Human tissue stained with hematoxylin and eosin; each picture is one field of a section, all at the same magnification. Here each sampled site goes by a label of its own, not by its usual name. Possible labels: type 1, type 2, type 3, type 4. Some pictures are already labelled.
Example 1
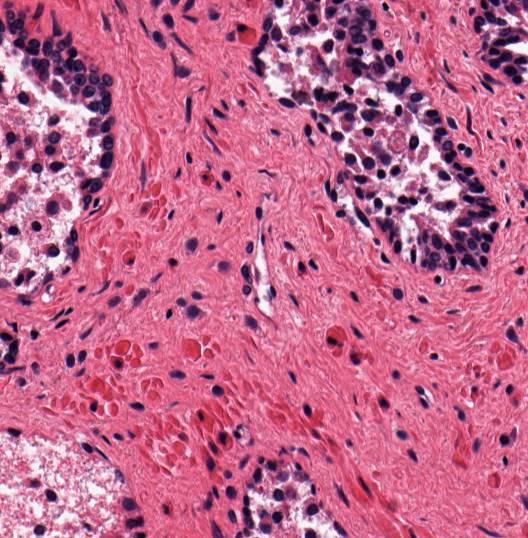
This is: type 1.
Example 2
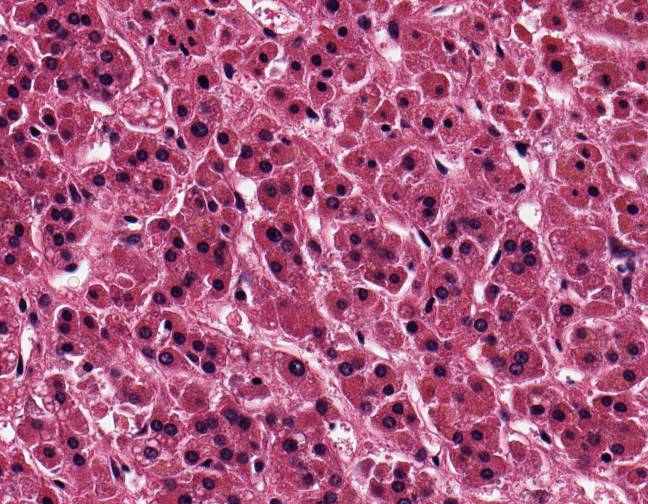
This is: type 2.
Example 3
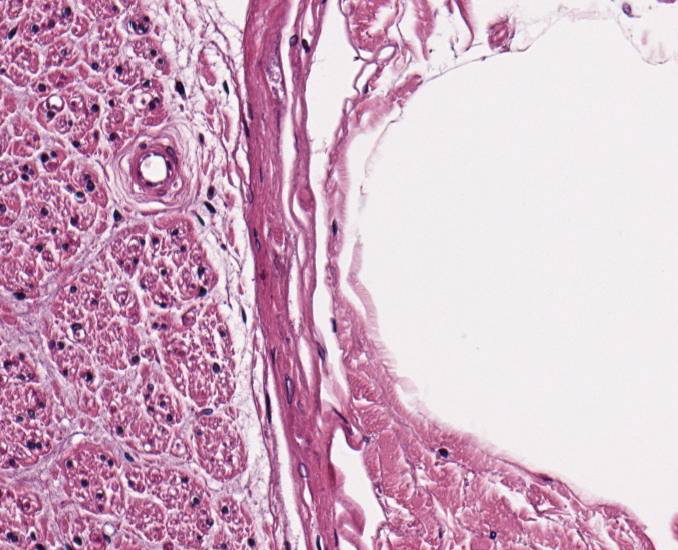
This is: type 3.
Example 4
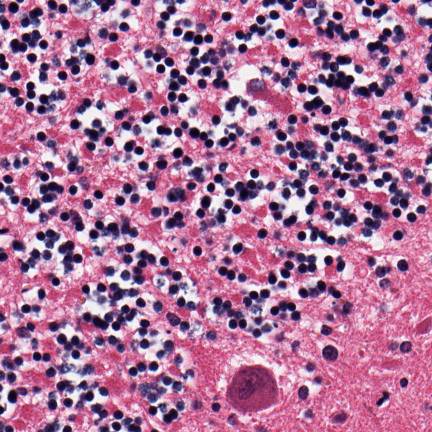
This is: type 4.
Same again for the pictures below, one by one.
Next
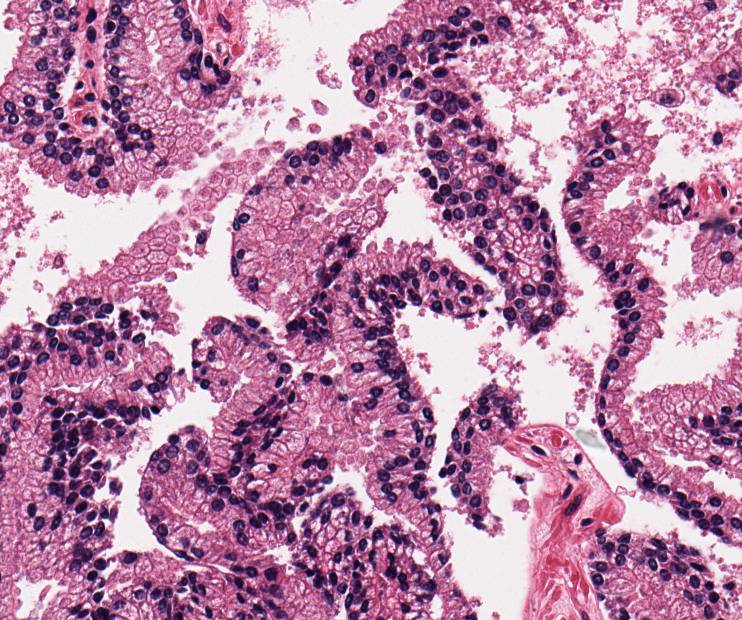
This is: type 1.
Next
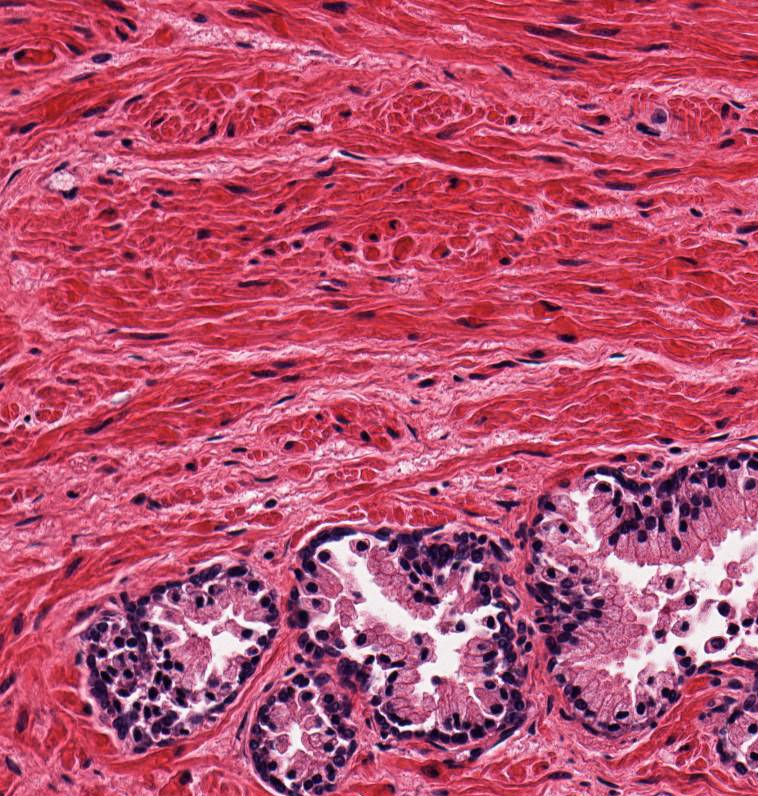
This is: type 1.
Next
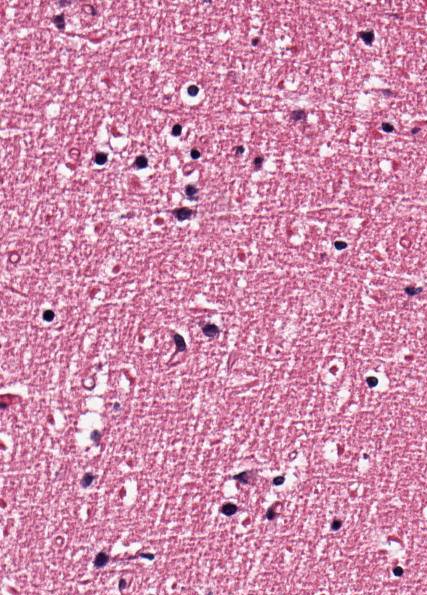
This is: type 4.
